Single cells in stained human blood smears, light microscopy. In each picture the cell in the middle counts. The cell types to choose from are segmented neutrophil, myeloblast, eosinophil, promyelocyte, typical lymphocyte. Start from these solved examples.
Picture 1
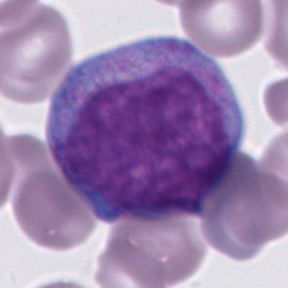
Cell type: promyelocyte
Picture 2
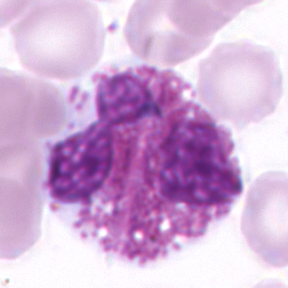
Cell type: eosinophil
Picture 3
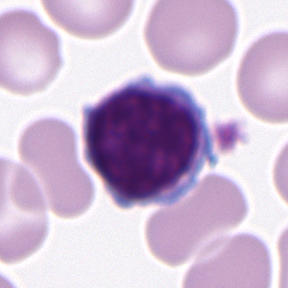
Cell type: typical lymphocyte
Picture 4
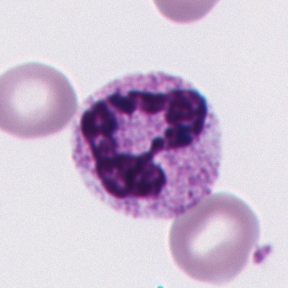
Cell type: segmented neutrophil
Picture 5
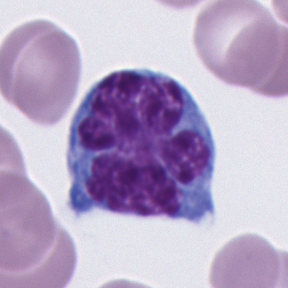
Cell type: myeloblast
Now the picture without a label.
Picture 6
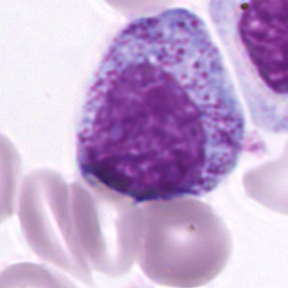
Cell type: promyelocyte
